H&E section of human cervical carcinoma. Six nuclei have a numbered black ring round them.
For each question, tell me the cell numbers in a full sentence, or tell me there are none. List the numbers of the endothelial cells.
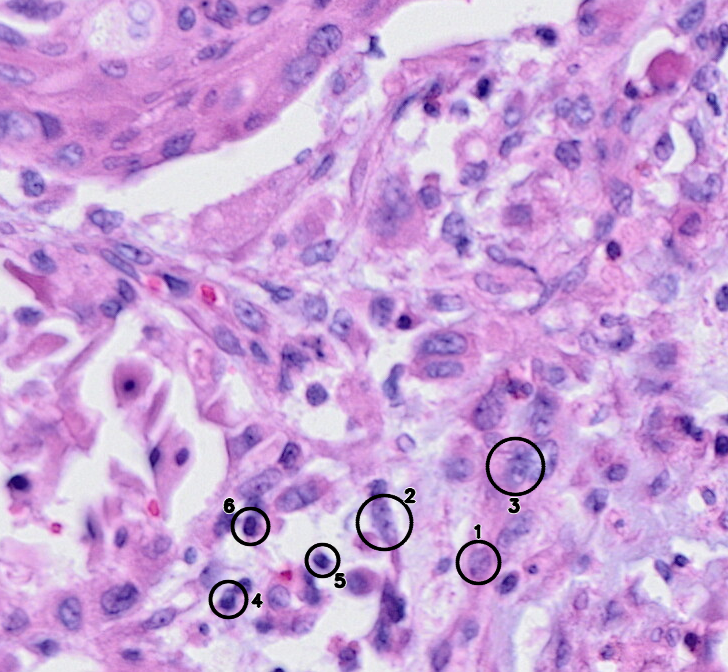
Cells numbered 1 and 3 belong to the group of endothelial cells.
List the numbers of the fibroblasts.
Of the cells bearing numbers, the only one that is a fibroblast is cell 2.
